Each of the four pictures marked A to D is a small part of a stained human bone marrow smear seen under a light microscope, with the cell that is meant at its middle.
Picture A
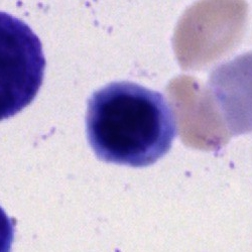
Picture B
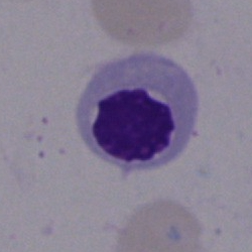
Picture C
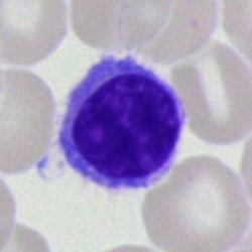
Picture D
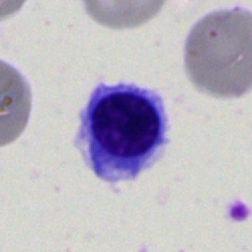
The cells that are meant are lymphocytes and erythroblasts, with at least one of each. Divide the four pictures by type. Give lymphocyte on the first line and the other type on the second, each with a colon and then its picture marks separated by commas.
lymphocyte: C
erythroblast: A, B, D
